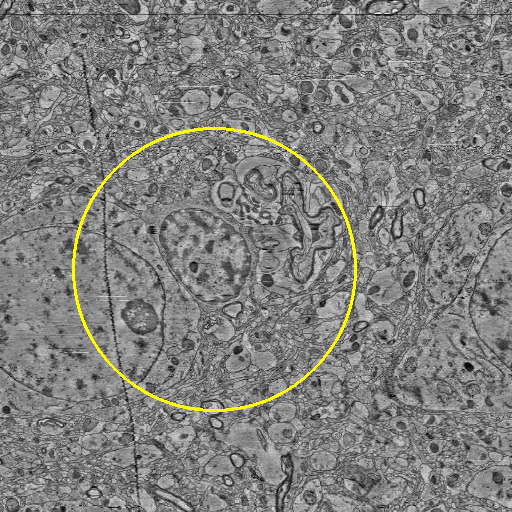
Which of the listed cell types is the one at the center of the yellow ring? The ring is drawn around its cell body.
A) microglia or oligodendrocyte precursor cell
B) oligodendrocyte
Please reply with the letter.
B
